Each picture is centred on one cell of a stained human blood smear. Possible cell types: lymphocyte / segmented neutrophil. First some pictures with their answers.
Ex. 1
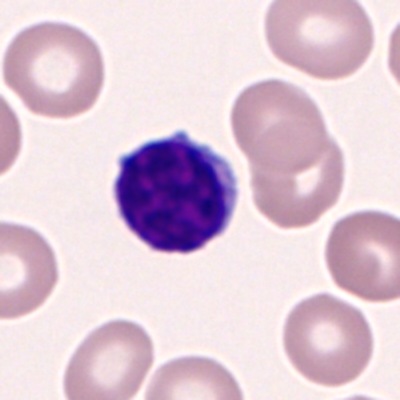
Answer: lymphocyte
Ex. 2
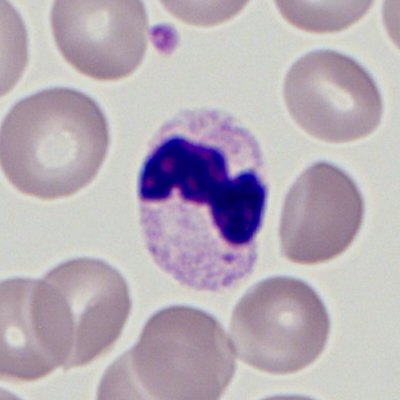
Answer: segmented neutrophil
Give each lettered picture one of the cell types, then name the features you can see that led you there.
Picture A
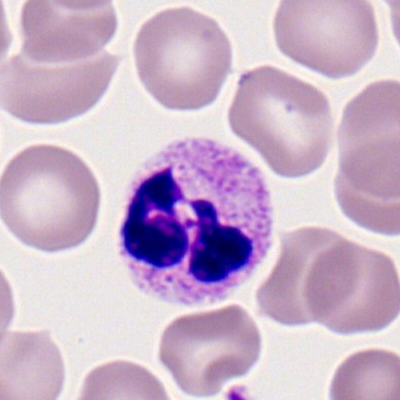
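Label: segmented neutrophil. The cytoplasm is plentiful and pale pinkish-lilac.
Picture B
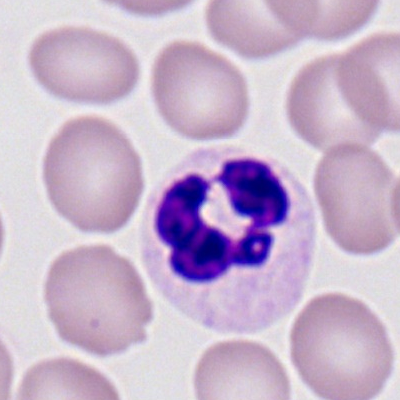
Label: segmented neutrophil. The cytoplasm is plentiful and pale pinkish-lilac.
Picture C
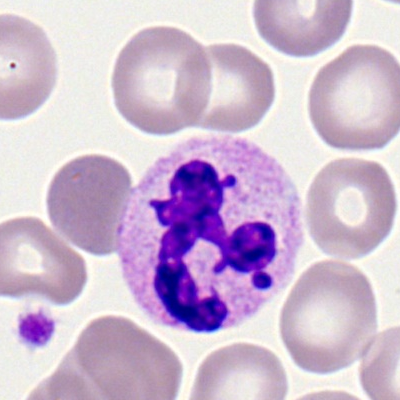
Label: segmented neutrophil. The cytoplasm is plentiful and pale pinkish-lilac.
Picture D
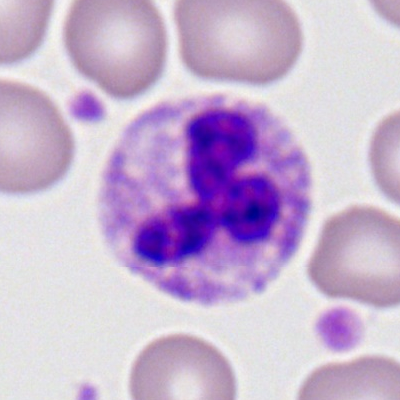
Label: segmented neutrophil. The cytoplasm is abundant and pale pinkish-lilac.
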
